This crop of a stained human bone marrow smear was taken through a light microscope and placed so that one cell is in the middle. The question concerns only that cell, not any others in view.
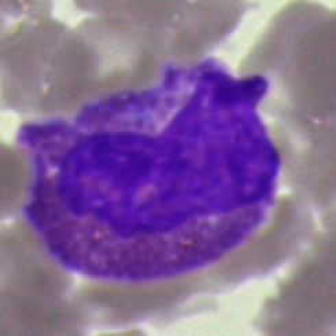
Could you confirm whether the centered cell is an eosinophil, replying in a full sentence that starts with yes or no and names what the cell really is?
Yes, in the middle of the crop is an eosinophil.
